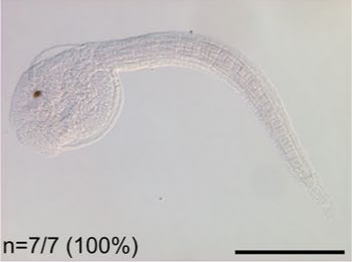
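The rounded trunk lies at the left, and the long tail arches up and back towards the right, tapering to its tip. Through the transparent tail a central column of stacked cells can be made out, with rows of cells running alongside it over its length.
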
